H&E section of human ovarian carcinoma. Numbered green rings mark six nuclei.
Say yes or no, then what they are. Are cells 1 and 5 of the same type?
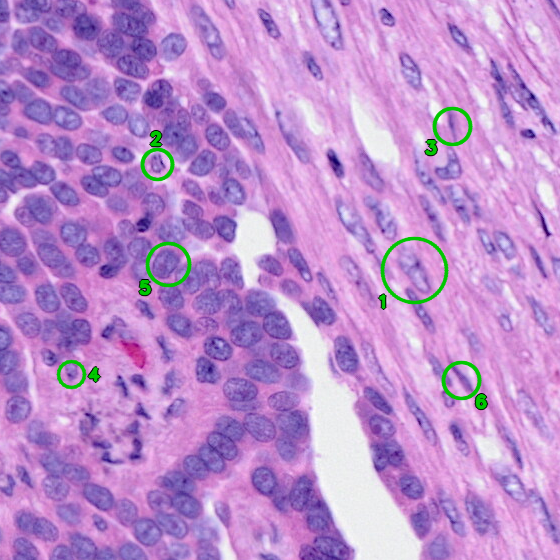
No, cell 1 is a fibroblast, and cell 5 is, by contrast, a carcinoma cell.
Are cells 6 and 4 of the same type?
Yes, by cell type, cells 6 and 4 are both fibroblasts.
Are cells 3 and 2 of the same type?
No, cell 3 is a fibroblast and cell 2, for its part, is a macrophage or monocyte.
